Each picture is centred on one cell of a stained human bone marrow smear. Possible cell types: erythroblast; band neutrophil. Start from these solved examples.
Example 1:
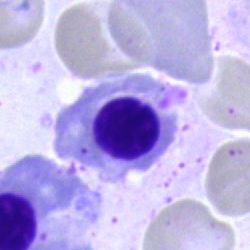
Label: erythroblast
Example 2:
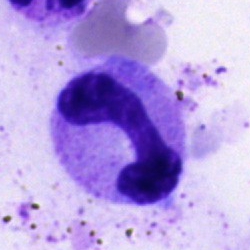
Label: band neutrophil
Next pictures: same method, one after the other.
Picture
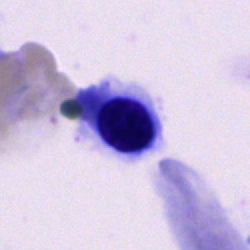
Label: erythroblast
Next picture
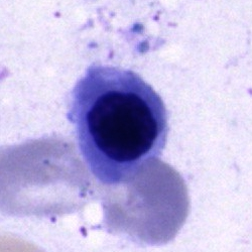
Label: erythroblast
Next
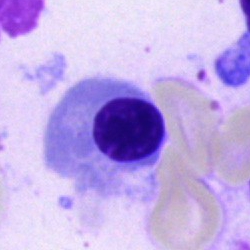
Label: erythroblast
